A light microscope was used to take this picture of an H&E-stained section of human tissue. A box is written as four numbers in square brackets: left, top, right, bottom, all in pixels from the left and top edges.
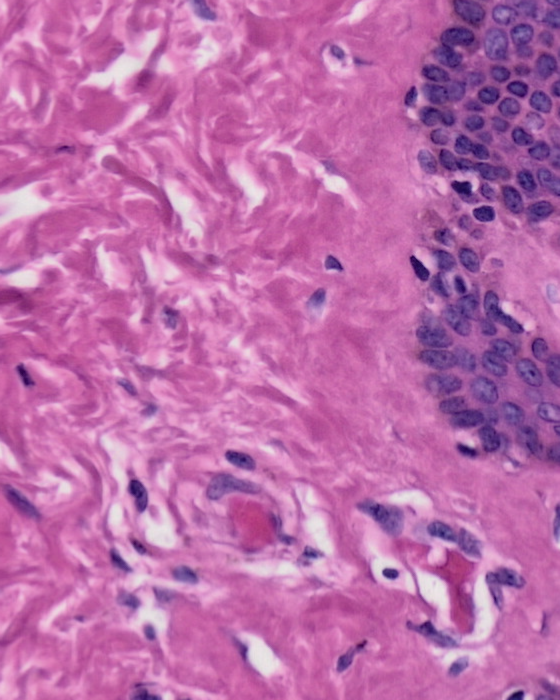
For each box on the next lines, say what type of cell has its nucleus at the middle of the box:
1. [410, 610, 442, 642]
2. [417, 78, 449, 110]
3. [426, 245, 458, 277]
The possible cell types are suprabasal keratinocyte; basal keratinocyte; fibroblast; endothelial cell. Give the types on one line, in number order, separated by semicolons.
fibroblast; basal keratinocyte; basal keratinocyte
